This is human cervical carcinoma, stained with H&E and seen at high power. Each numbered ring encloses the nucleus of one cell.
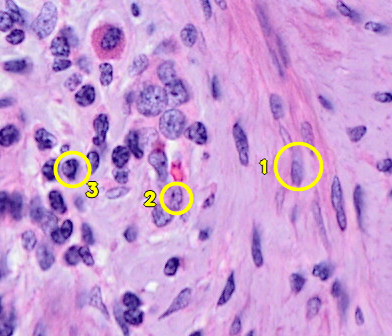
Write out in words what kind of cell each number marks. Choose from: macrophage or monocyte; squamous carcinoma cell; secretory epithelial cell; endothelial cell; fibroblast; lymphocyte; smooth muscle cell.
Cell 1 is a smooth muscle cell, cell 2 is an endothelial cell and cell 3 is a lymphocyte.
